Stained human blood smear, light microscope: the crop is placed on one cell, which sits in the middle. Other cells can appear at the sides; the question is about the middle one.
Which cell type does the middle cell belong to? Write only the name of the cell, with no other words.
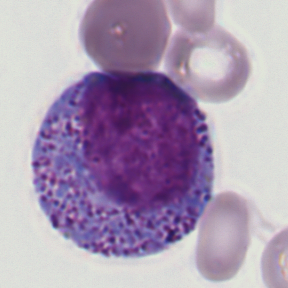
promyelocyte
